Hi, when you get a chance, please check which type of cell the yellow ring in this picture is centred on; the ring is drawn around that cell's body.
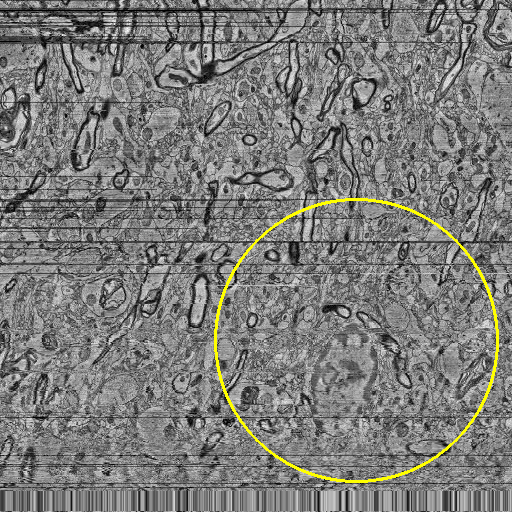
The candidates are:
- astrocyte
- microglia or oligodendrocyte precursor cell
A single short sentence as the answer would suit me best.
The ring is drawn around the body of a microglial cell or oligodendrocyte precursor cell.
